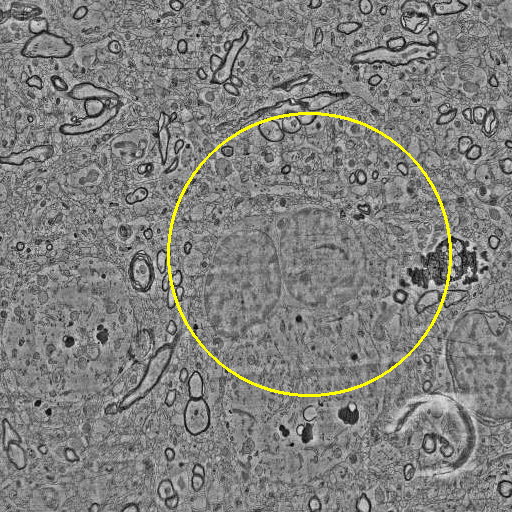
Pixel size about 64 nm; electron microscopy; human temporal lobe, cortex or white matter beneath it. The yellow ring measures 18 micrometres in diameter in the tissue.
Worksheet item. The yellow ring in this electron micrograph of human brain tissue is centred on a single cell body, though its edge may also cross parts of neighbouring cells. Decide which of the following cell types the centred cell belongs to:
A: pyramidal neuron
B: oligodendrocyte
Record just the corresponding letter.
B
